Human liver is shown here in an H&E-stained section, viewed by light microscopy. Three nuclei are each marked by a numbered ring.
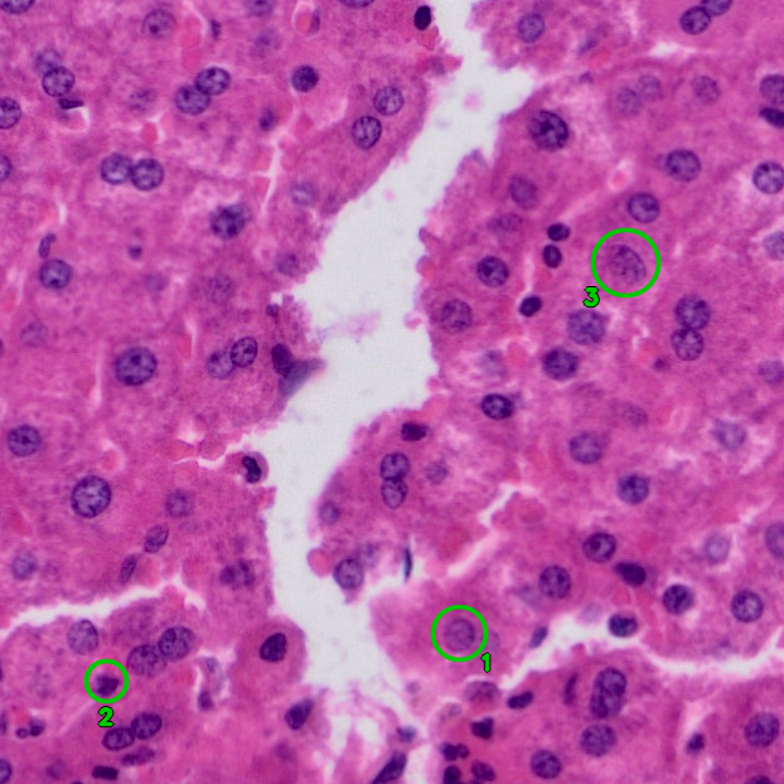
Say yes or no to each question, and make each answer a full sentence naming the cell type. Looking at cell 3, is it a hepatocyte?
Yes, the cell to which number 3 refers is a hepatocyte.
